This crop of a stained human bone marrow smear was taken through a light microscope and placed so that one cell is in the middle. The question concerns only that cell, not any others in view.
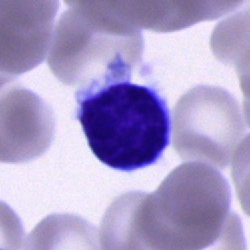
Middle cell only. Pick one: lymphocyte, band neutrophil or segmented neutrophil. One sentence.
The central cell in this smear crop is a lymphocyte.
